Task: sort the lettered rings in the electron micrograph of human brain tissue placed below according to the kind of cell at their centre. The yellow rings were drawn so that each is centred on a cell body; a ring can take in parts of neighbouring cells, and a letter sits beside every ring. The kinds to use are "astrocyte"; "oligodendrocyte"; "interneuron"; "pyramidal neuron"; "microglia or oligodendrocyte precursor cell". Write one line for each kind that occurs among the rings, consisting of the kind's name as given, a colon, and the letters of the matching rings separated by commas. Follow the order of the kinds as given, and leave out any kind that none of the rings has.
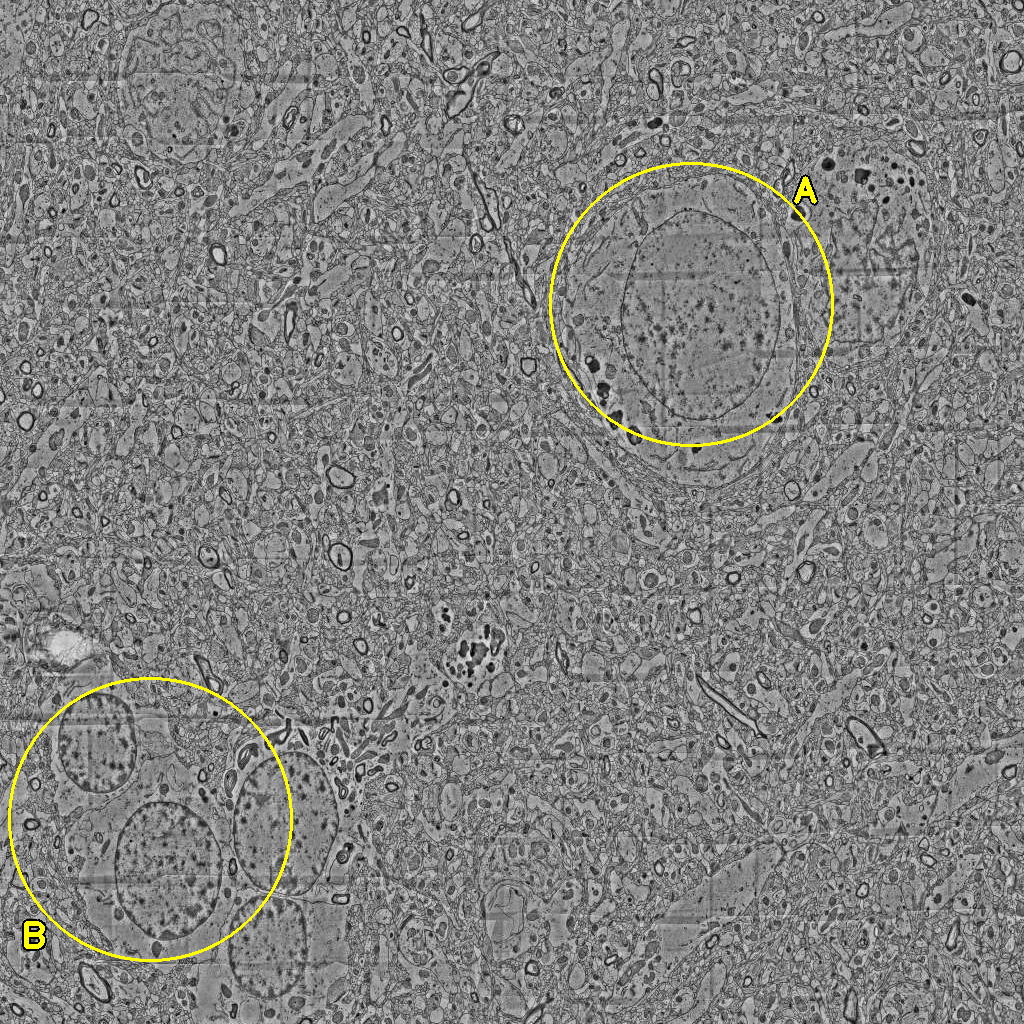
astrocyte: B
pyramidal neuron: A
